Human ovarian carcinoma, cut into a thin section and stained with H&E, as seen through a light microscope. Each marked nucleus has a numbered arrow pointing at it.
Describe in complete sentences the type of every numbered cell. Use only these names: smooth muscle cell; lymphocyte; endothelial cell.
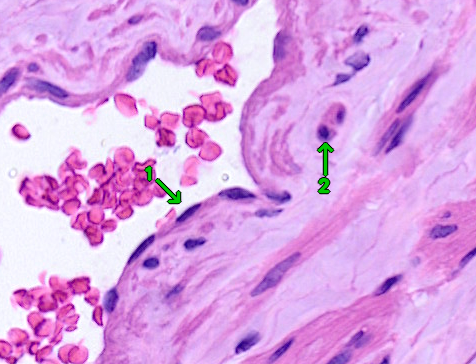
Cell 1 is an endothelial cell. Cell 2 is a smooth muscle cell.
